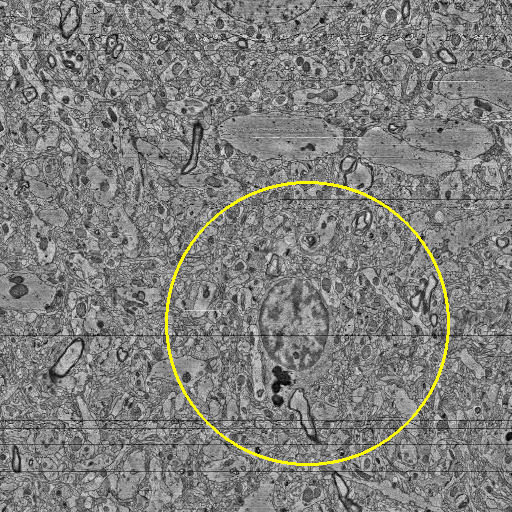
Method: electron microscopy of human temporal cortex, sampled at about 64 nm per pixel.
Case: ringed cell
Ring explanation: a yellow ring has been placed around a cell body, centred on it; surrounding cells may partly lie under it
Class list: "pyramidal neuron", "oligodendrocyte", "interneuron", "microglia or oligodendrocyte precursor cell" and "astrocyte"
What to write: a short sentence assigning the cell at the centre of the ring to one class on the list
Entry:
The cell at the ring's centre is an oligodendrocyte.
